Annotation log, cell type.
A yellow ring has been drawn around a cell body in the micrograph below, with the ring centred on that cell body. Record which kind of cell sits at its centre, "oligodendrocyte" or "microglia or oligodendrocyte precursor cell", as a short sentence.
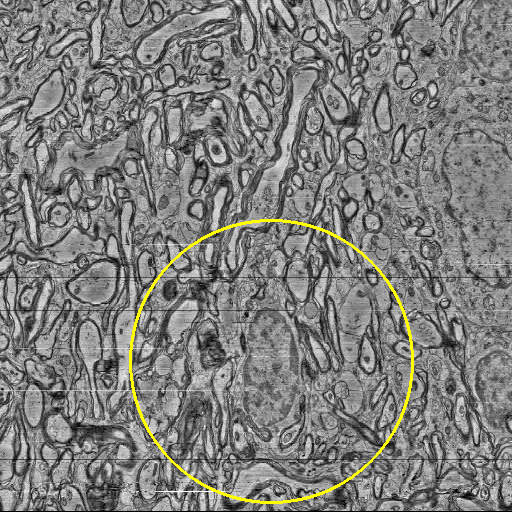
The cell at the centre of this ring is an oligodendrocyte.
